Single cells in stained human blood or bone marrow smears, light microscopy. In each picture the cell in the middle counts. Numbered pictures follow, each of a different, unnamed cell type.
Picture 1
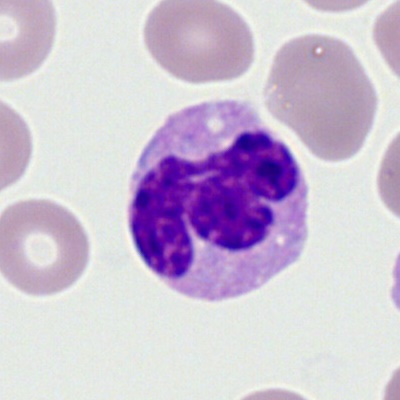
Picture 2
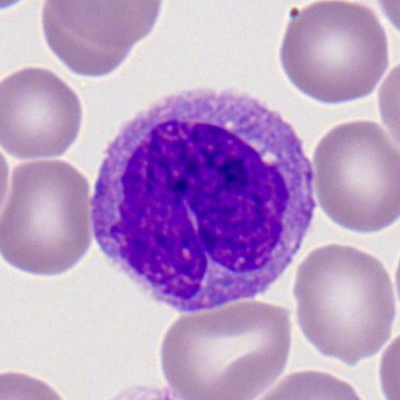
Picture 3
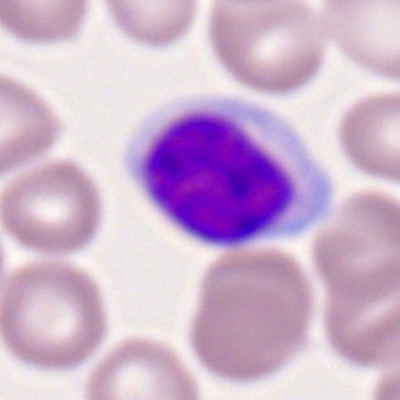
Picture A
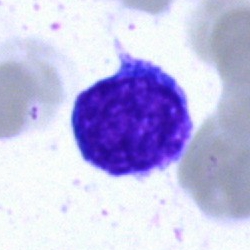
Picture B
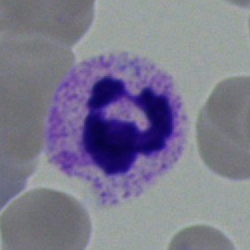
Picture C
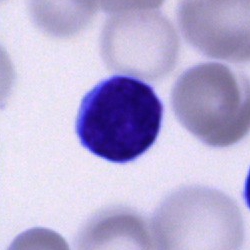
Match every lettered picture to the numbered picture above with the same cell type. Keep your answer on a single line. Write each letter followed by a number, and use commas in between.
A 3, B 1, C 3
